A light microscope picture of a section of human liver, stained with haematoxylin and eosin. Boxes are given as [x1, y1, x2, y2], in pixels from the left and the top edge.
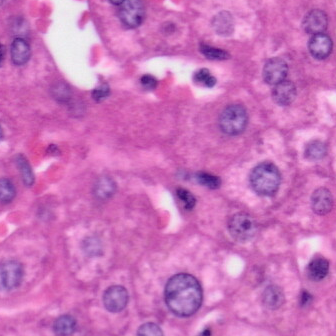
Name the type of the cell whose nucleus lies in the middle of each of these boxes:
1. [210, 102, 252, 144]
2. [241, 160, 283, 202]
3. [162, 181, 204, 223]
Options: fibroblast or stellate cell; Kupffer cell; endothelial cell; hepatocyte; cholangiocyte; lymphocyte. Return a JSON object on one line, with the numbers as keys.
{"1": "hepatocyte", "2": "hepatocyte", "3": "Kupffer cell"}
